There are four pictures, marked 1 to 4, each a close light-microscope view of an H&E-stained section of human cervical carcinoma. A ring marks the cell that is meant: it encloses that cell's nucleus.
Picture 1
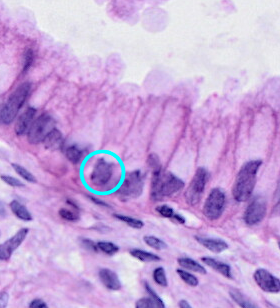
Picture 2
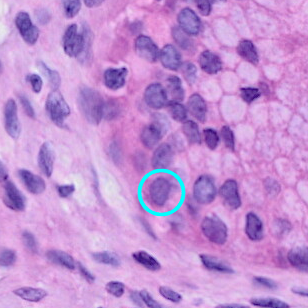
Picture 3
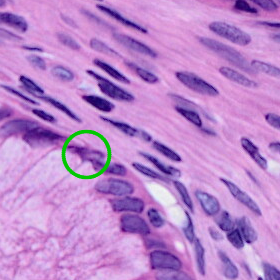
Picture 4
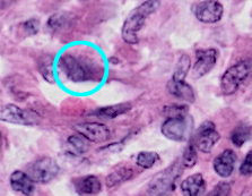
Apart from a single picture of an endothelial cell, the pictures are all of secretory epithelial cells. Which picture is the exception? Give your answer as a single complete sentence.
The picture with the endothelial cell is 4.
